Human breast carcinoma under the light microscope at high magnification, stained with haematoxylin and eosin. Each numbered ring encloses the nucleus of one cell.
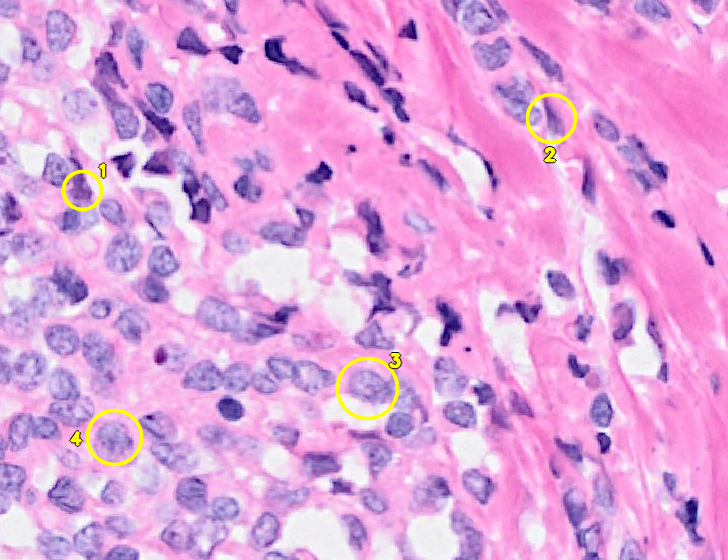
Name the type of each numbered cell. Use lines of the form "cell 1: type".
cell 1: carcinoma cell
cell 2: endothelial cell
cell 3: carcinoma cell
cell 4: carcinoma cell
